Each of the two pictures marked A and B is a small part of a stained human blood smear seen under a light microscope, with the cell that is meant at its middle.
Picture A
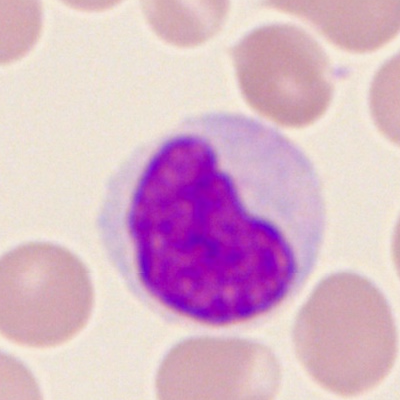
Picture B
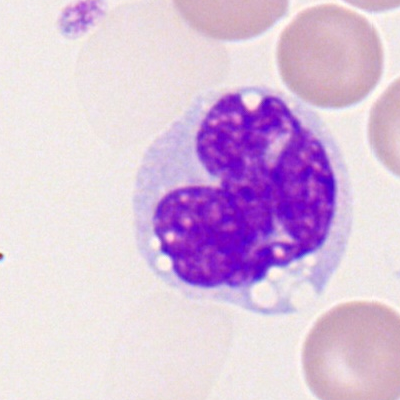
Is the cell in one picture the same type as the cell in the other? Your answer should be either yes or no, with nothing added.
yes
